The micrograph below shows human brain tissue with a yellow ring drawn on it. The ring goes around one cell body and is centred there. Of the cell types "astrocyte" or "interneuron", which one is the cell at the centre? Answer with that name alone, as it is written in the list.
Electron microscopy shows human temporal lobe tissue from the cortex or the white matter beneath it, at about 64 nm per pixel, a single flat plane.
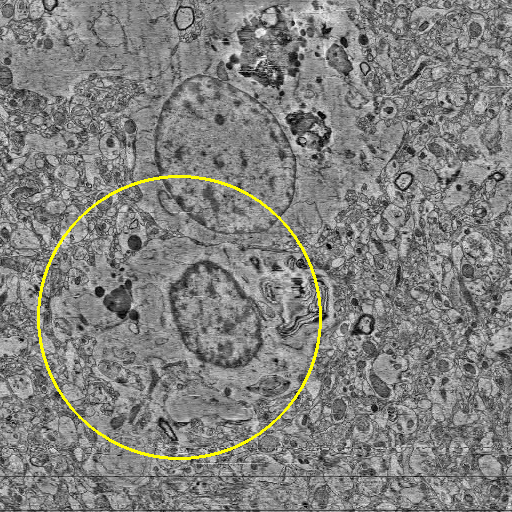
astrocyte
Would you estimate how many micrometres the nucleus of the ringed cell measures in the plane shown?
About 7 by 5 micrometers, in this plane.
